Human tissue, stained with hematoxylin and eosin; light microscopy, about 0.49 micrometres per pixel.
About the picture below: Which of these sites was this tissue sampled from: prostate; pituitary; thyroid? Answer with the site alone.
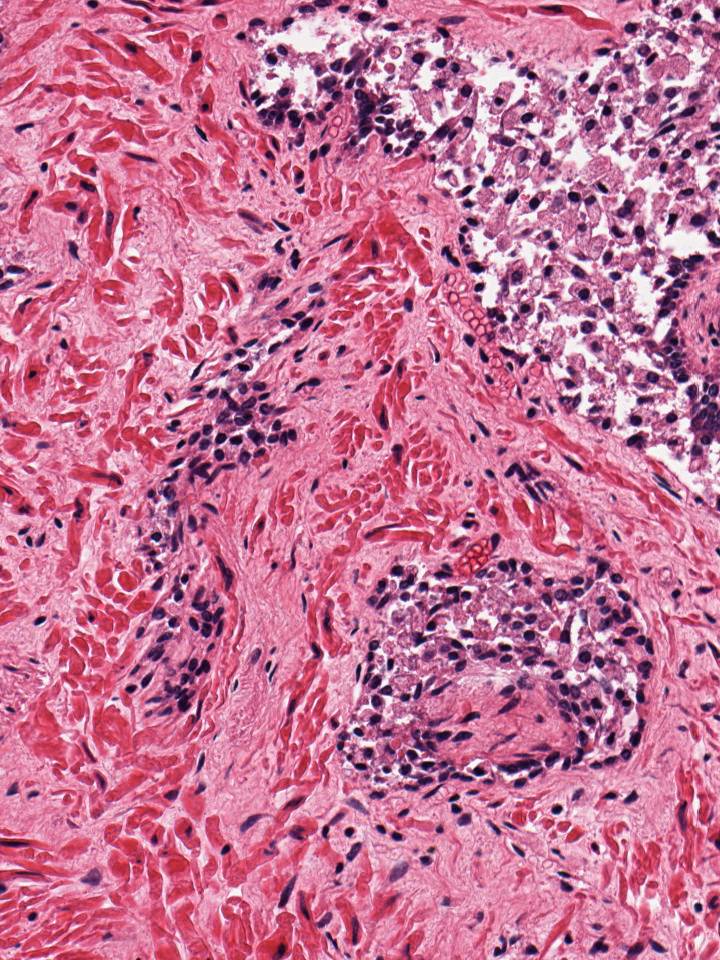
prostate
